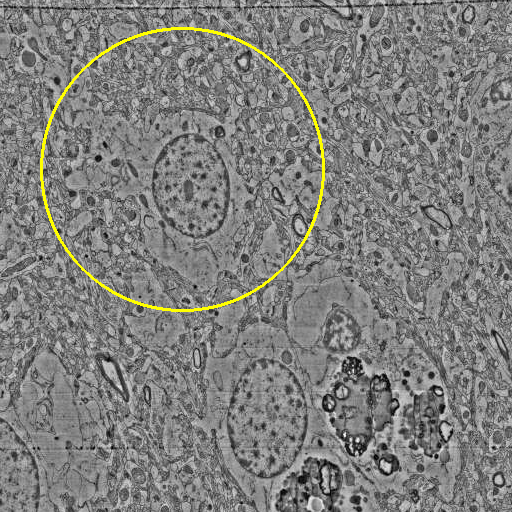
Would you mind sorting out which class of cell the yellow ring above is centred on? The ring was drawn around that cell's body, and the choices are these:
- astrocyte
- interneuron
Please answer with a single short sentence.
This is the cell body of an astrocyte.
